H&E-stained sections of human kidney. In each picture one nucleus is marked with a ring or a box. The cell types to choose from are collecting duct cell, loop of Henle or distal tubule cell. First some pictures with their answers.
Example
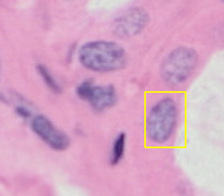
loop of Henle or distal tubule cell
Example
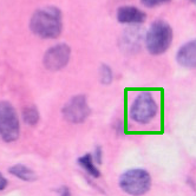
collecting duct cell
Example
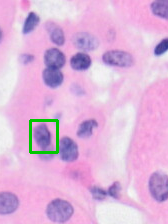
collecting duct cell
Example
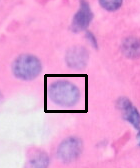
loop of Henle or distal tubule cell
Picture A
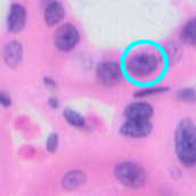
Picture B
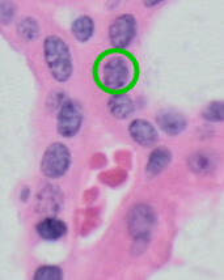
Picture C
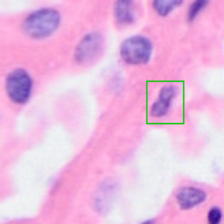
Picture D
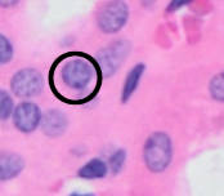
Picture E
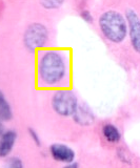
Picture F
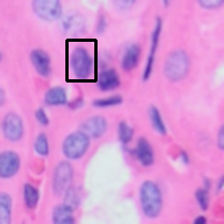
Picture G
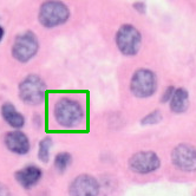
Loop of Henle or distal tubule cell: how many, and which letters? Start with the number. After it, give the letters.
Count: 3 (C, E, G)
